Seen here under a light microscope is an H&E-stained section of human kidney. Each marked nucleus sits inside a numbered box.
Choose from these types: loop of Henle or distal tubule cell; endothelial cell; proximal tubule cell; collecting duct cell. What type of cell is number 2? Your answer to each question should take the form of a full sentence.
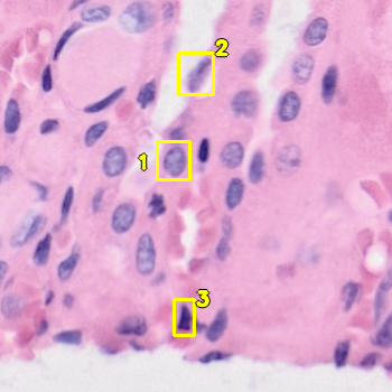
Identified as a loop of Henle or distal tubule cell is the cell bearing the number 2.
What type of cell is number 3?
The cell identified by number 3 is an endothelial cell.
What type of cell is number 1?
The nucleus marked 1 is the nucleus of a loop of Henle or distal tubule cell.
